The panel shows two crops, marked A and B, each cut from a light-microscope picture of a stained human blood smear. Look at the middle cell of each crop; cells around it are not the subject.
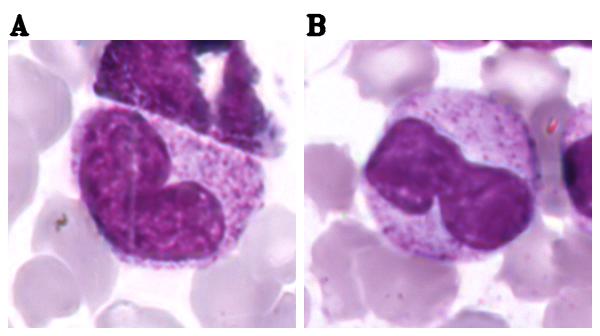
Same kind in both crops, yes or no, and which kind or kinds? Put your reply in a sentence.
Yes, the cells that both crops show at the centre are band neutrophils.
